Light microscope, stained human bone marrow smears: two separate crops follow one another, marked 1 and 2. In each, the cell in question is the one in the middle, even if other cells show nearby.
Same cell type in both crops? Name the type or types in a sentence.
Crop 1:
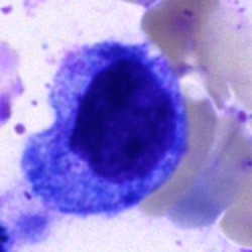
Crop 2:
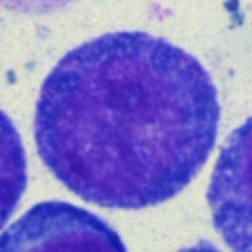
Yes, both crops contain promyelocytes at their centres.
